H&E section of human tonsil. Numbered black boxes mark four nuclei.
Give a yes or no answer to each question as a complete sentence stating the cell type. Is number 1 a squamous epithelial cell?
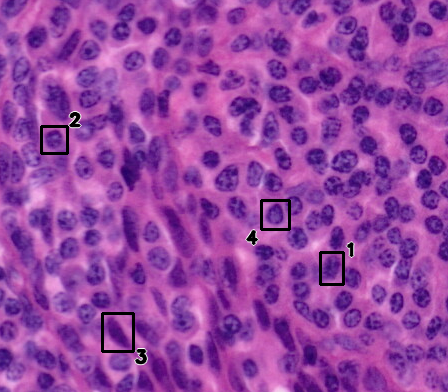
No, calling cell 1 a squamous epithelial cell is incorrect; it is a plasma cell.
